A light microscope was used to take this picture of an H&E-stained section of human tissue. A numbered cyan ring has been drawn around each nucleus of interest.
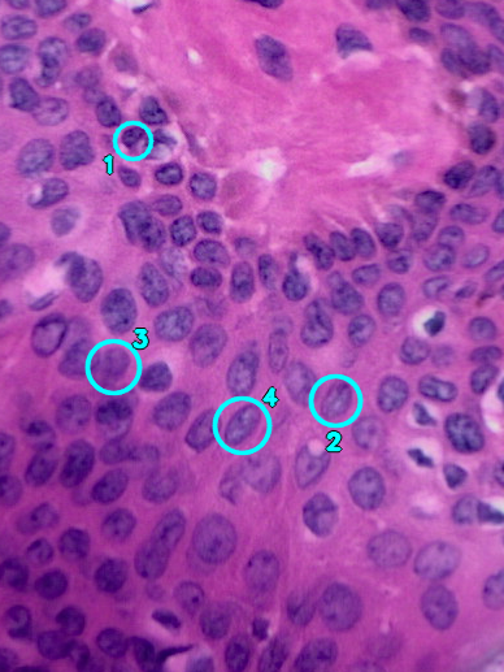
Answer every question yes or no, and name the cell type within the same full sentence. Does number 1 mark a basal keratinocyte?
Yes, and to answer plainly, cell 1 is a basal keratinocyte.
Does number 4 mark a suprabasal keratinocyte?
Yes, the cell that the number 4 labels is a suprabasal keratinocyte.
